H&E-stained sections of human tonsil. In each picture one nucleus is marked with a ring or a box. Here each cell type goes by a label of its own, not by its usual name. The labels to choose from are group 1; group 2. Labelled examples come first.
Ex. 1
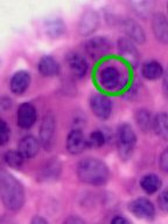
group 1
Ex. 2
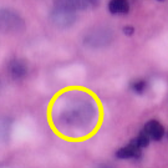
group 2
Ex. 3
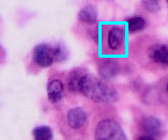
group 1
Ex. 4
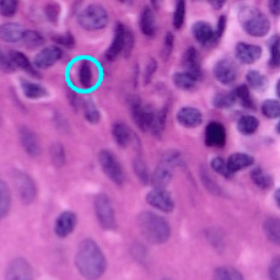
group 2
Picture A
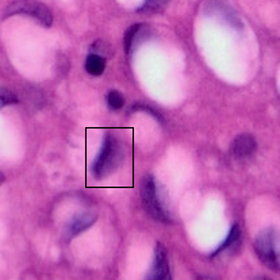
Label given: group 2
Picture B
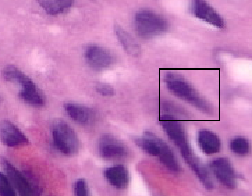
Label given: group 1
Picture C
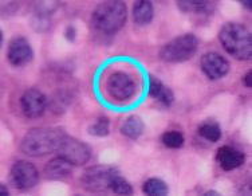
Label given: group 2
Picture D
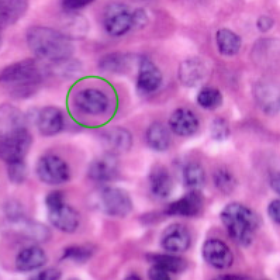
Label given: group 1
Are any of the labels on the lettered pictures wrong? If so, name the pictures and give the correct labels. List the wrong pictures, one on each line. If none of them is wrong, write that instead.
B: change group 1 to group 2
C: change group 2 to group 1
